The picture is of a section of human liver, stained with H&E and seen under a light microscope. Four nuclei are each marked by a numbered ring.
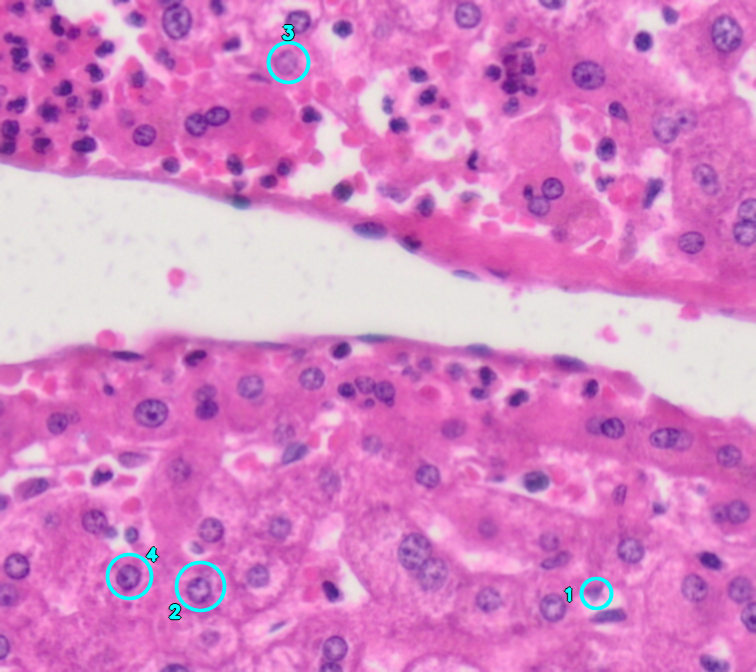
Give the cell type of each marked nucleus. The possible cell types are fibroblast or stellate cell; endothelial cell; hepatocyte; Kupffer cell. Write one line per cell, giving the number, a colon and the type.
1: endothelial cell
2: hepatocyte
3: hepatocyte
4: hepatocyte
